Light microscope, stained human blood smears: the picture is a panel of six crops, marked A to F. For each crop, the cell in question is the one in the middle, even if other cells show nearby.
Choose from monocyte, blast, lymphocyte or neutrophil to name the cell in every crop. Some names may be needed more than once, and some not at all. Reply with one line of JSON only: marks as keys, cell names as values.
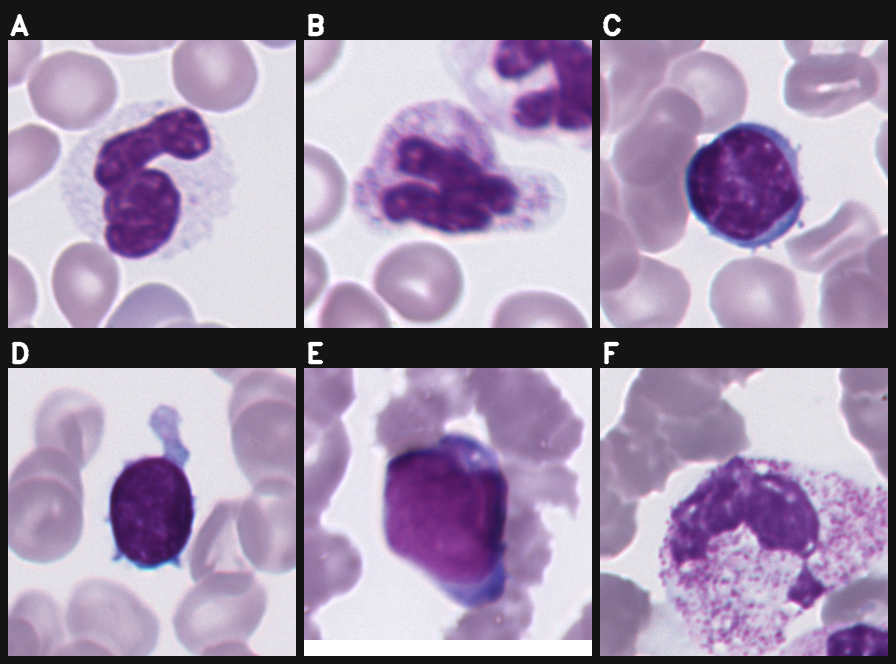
{"A": "neutrophil", "B": "neutrophil", "C": "lymphocyte", "D": "lymphocyte", "E": "blast", "F": "neutrophil"}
